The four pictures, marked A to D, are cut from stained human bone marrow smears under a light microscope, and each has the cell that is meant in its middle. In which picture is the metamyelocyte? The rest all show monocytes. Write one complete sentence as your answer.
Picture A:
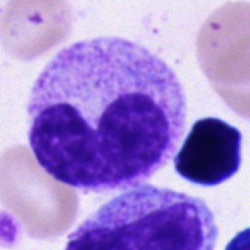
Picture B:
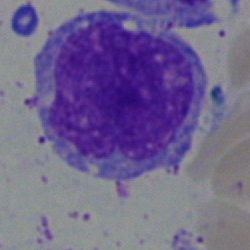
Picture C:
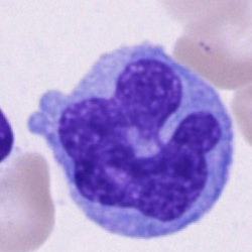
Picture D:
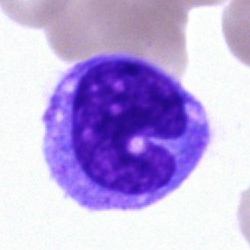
The cell in picture A is the metamyelocyte.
